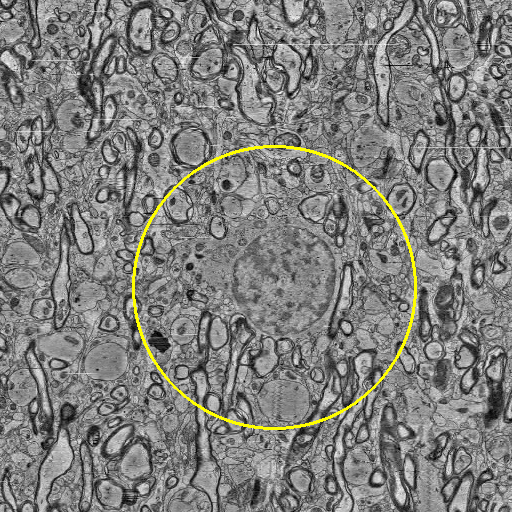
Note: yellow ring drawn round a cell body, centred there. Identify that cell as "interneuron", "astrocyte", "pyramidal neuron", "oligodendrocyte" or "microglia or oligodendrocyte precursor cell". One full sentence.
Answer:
The cell in the middle of the ring is an oligodendrocyte.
